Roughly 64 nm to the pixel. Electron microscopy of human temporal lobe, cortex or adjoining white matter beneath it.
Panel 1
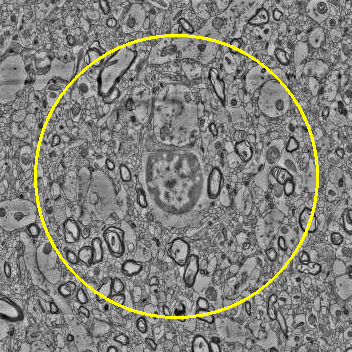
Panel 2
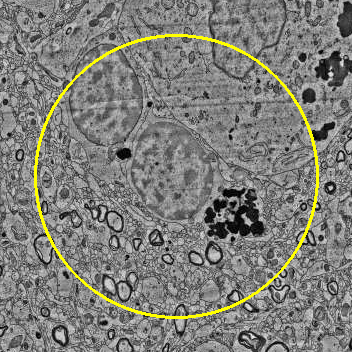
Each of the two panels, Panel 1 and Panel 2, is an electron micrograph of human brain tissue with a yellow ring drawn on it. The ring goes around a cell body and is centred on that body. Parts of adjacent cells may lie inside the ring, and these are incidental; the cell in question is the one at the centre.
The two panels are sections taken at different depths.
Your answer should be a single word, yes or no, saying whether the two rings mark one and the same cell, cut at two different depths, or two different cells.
no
